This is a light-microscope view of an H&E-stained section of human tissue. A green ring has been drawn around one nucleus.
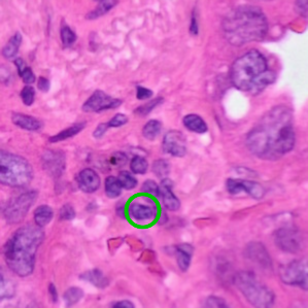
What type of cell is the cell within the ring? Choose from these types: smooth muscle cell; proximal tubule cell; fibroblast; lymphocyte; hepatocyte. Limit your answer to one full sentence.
With respect to cell type, the cell within the ring is a lymphocyte.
